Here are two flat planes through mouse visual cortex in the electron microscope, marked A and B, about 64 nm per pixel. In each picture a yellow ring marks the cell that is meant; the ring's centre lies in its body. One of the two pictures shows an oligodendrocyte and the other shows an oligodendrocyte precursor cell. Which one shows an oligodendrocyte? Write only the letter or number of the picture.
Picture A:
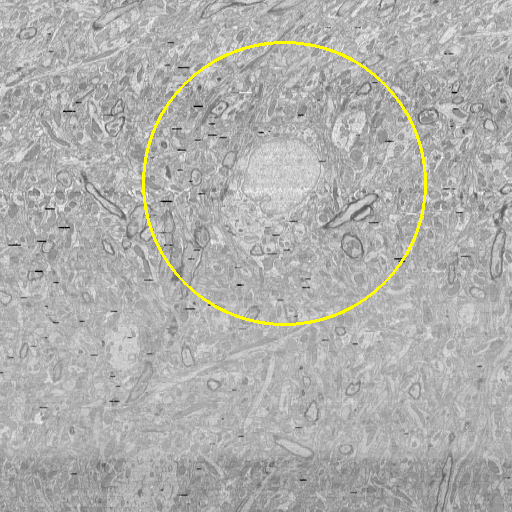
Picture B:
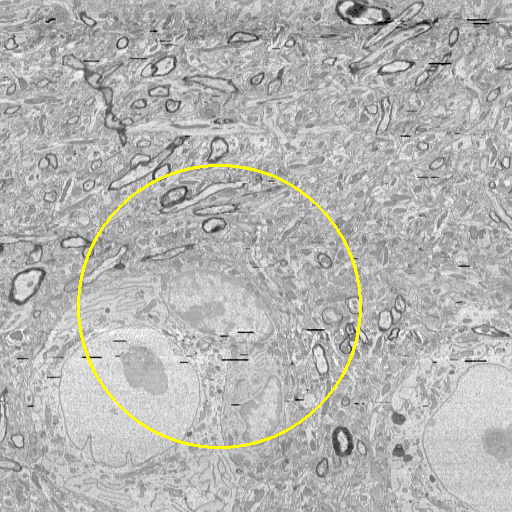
B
